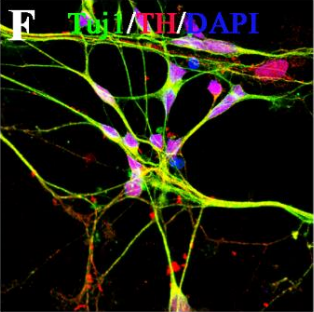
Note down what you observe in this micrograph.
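Small cell bodies with magenta-looking nuclei sit at the junctions of long, branching processes. The processes are green, and many appear yellow where red signal overlaps the green along their length. Some processes bundle together into thicker strands, while fine red dotted fibres spread toward the bottom of the field.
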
